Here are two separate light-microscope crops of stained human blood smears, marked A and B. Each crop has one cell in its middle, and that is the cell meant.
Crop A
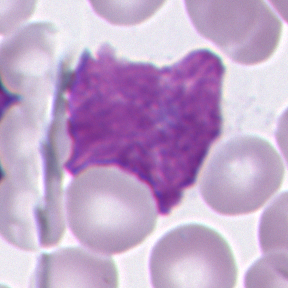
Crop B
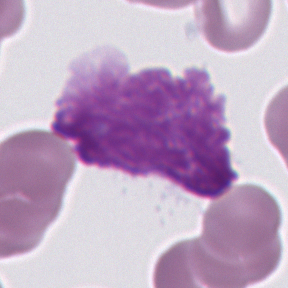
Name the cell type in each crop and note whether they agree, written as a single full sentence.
Yes, both crops show smudge cells, to put it briefly.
